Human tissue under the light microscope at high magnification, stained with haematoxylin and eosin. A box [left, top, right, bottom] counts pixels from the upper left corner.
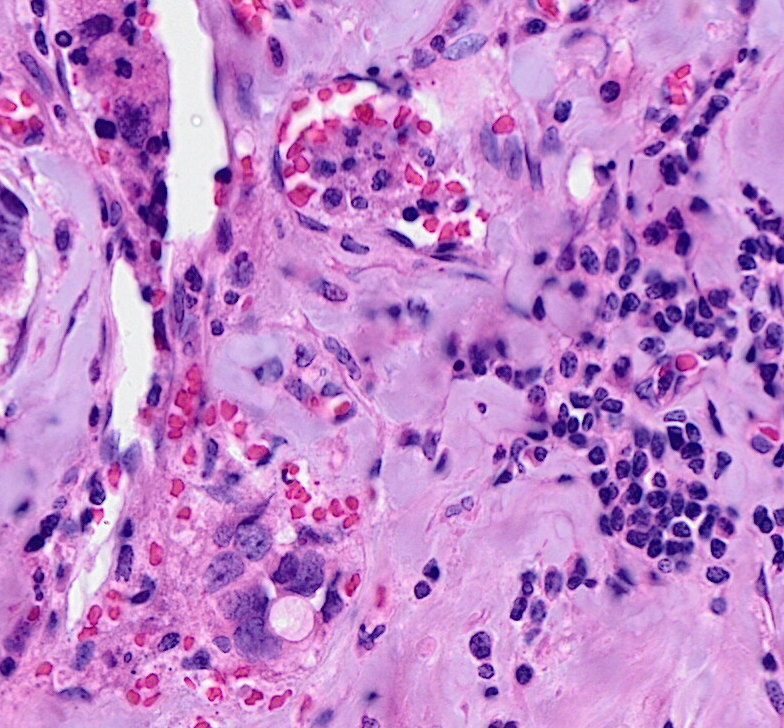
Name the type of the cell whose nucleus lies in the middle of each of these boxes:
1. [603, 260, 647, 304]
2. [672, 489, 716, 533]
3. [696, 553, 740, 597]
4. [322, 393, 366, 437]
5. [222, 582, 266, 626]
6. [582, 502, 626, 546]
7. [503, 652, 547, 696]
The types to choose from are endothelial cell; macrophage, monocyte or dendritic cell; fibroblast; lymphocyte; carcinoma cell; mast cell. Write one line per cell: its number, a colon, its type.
1: lymphocyte
2: lymphocyte
3: lymphocyte
4: endothelial cell
5: carcinoma cell
6: lymphocyte
7: mast cell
